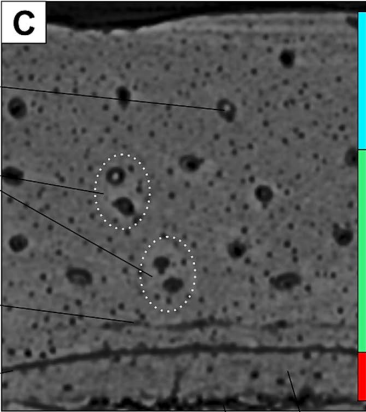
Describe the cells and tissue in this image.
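The grey matrix is peppered with small dark dots, the osteocyte lacunae. Dark round vascular canals are most numerous in the middle band, some lying in close pairs, and sparser in the outer band. A faint thin line parallel to the surface crosses the lower cortex. Below it a darker irregular line bounds a thin innermost layer of denser bone lining the marrow cavity. The layers lie one over another, parallel to the bone surface.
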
